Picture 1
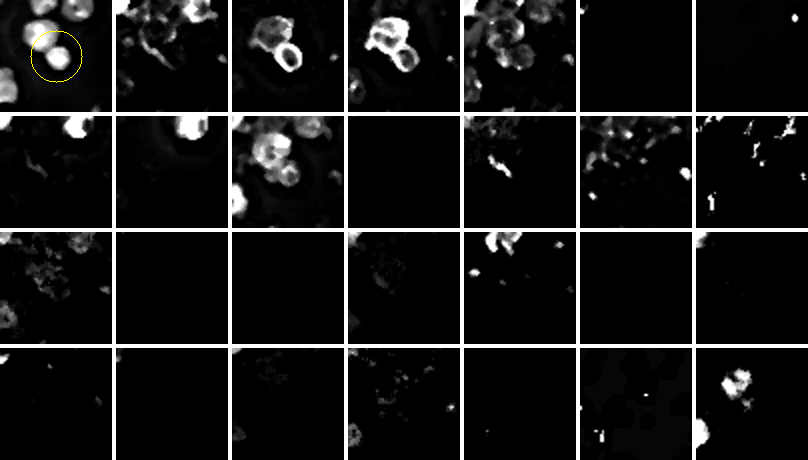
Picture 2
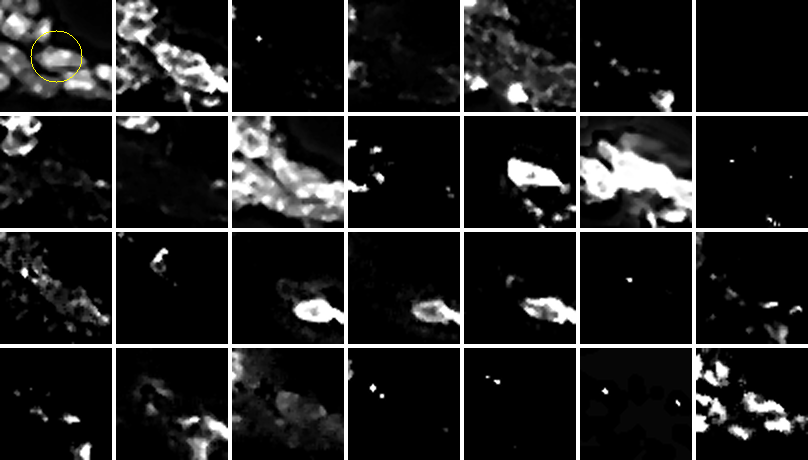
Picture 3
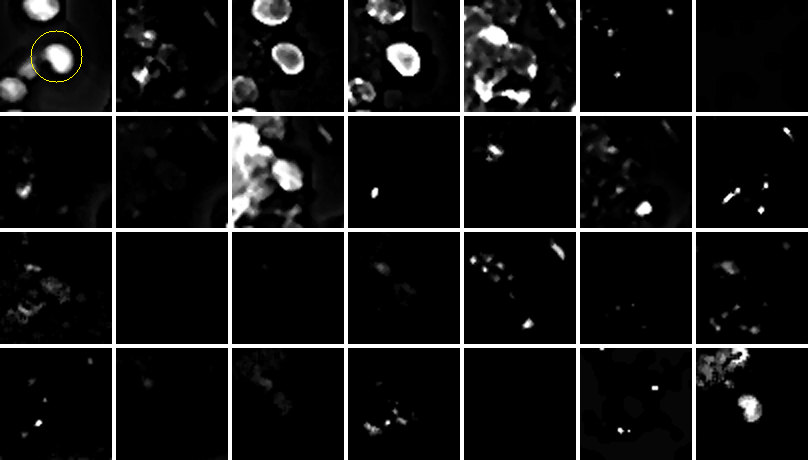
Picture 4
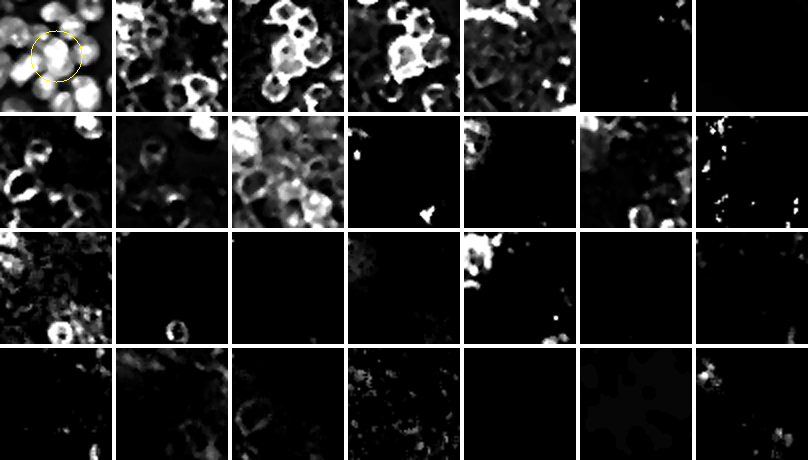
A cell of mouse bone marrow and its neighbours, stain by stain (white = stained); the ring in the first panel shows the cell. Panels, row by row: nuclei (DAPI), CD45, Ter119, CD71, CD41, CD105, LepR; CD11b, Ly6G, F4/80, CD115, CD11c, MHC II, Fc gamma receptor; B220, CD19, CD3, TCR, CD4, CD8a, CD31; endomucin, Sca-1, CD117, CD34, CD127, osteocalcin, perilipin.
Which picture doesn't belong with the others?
Picture 2.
